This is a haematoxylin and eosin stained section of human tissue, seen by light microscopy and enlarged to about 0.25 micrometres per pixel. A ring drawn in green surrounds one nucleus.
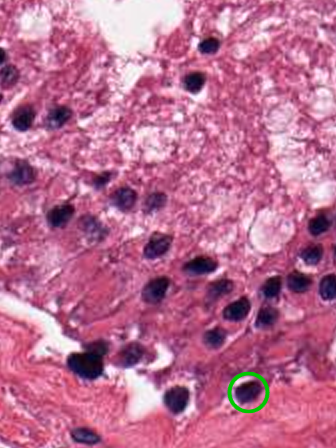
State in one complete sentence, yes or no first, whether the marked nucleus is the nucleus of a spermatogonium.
Yes, the cell that holds the marked nucleus is a spermatogonium.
